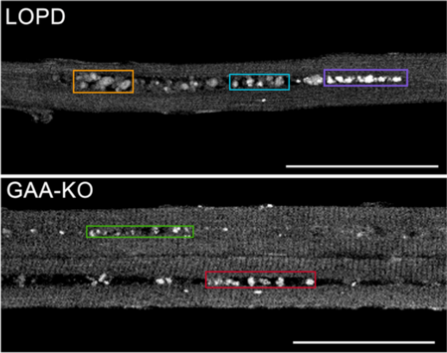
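Bright, rounded particles of varying size form rows running lengthwise within the fibers. In the upper fiber the particles at one end of the row are especially bright.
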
